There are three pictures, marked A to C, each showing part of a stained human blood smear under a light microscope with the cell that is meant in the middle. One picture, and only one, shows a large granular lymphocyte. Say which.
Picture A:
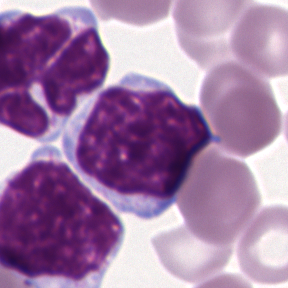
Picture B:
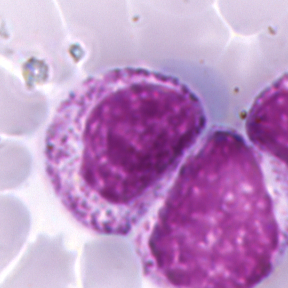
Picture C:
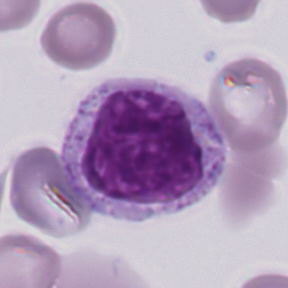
A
